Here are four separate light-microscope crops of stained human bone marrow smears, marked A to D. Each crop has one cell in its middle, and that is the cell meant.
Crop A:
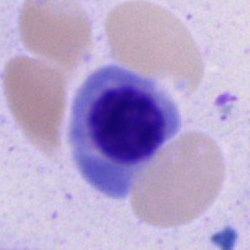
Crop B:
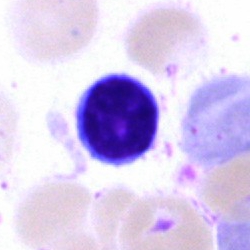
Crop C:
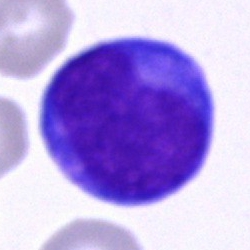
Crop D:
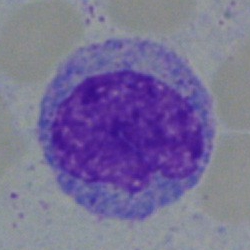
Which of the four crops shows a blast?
C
